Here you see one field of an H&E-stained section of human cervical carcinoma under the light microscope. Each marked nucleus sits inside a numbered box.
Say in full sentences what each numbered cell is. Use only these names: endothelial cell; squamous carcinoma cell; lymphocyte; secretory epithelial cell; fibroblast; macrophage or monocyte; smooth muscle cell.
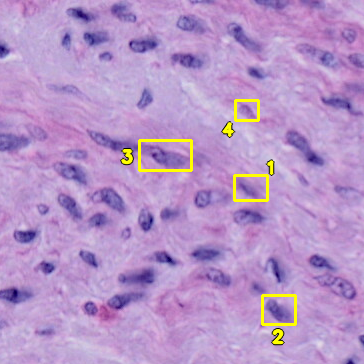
Cells 1, 3 and 4 are smooth muscle cells. Cell 2 is a fibroblast.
